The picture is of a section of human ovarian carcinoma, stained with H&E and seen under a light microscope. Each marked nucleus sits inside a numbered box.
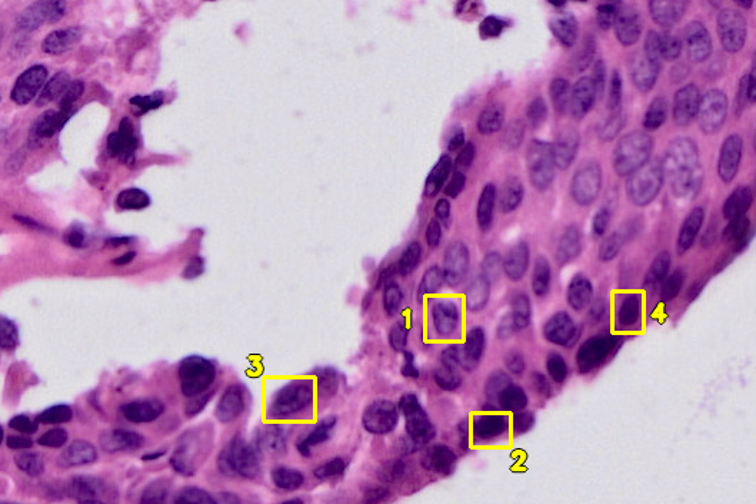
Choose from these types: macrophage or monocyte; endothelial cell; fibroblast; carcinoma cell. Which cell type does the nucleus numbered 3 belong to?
carcinoma cell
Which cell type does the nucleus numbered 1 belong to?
macrophage or monocyte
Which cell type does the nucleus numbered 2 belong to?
carcinoma cell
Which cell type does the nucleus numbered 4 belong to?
carcinoma cell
